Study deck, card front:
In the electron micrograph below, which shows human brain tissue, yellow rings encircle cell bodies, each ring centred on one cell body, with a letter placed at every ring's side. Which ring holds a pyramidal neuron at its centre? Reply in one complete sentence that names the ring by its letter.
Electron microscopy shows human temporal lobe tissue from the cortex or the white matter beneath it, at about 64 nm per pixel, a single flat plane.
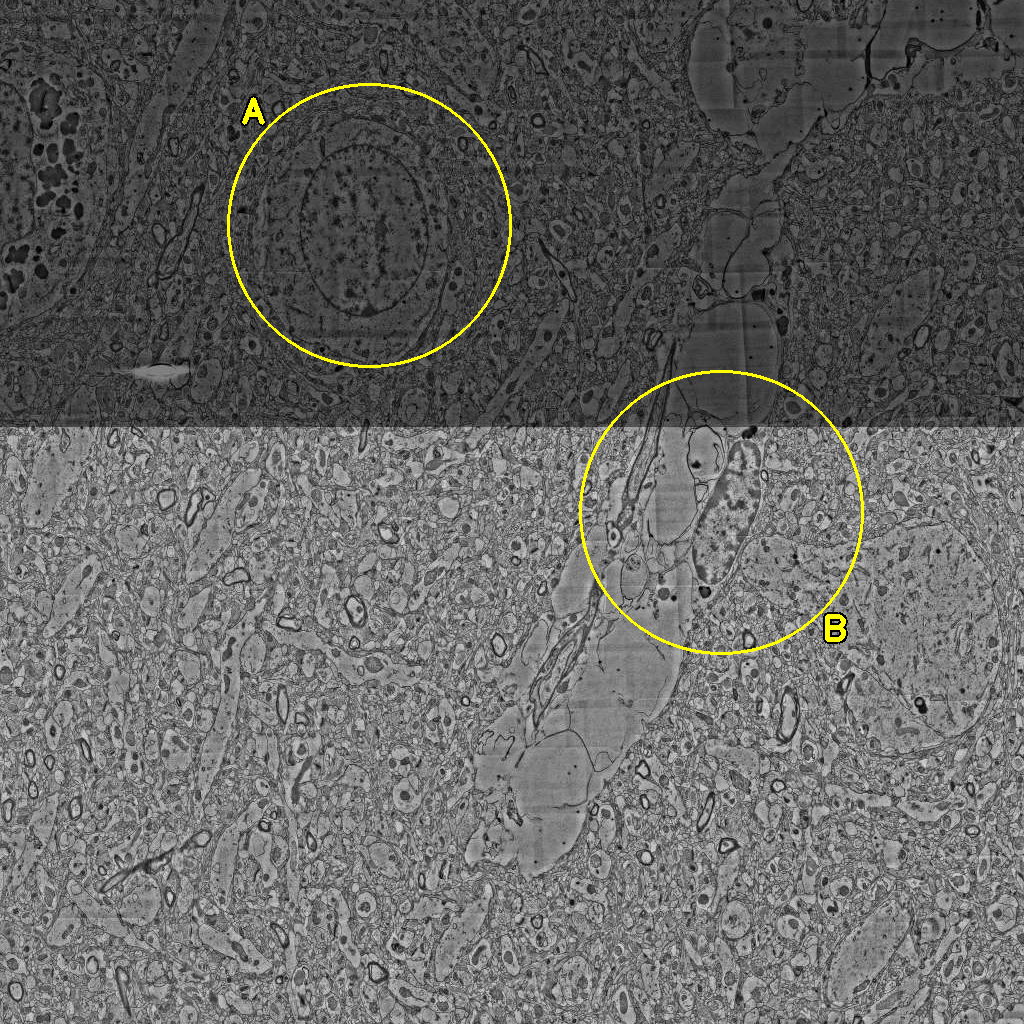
The cell asked for sits at the centre of ring A in the picture.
